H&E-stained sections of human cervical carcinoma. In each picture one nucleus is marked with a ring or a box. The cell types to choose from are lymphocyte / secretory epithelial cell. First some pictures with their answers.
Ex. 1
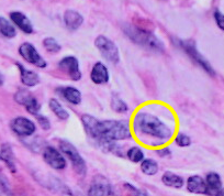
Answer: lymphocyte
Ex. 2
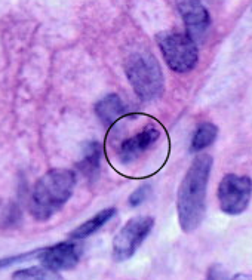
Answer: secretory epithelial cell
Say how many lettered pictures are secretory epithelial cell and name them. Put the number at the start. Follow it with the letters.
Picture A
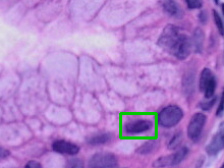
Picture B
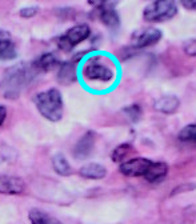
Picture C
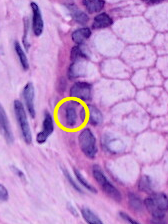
2: A, C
